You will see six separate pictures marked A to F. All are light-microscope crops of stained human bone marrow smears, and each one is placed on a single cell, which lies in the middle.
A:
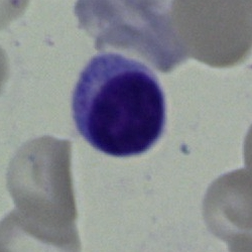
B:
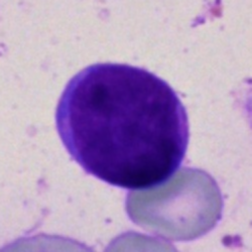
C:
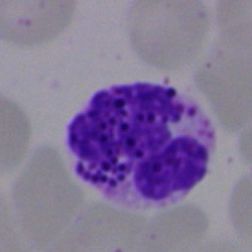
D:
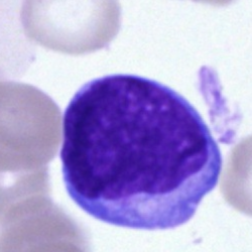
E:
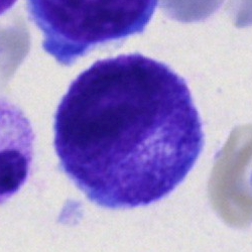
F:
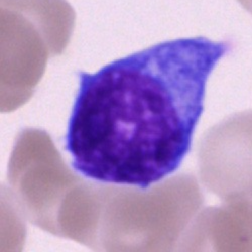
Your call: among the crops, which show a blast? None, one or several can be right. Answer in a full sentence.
The cells of interest in crops B, D and F are blasts.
